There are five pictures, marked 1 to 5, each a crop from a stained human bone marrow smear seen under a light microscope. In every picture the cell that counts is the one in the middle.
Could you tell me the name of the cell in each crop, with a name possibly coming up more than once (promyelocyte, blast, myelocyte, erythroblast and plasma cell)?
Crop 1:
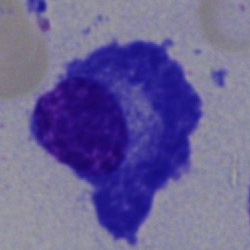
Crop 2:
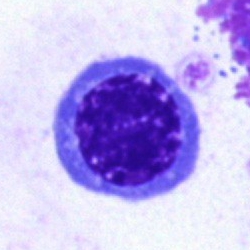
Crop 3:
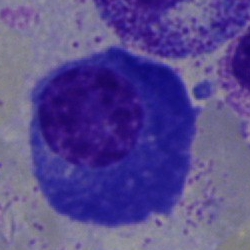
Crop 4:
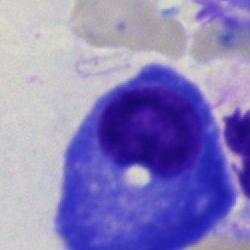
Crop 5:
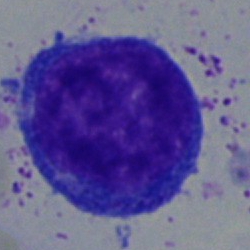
1: plasma cell
2: erythroblast
3: plasma cell
4: plasma cell
5: blast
